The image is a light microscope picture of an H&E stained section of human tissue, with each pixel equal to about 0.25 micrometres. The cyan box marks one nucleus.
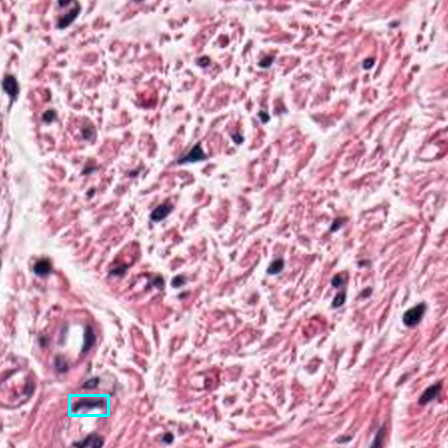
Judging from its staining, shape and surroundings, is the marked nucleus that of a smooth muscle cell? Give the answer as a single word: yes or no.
no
